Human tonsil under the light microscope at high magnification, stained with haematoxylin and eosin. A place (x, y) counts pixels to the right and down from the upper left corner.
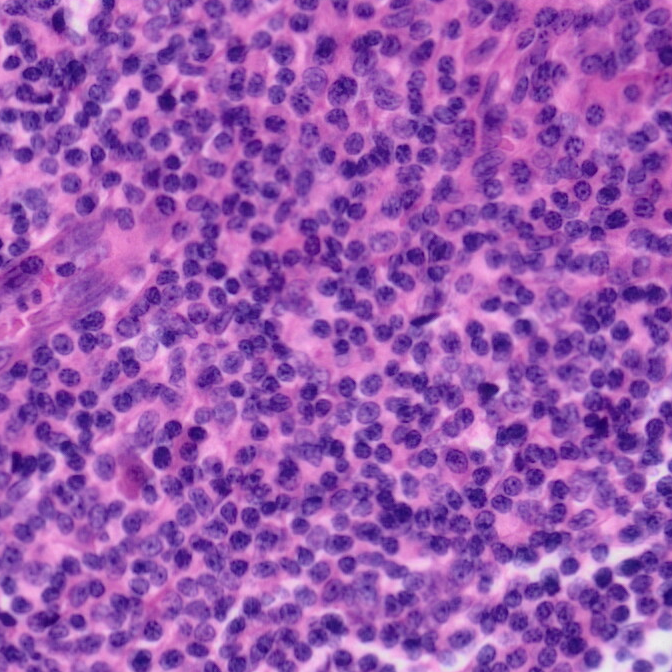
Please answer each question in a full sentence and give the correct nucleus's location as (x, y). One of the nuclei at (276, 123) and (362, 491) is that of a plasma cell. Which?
Heads up, the nucleus at (276, 123) is the one that belongs to a plasma cell.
